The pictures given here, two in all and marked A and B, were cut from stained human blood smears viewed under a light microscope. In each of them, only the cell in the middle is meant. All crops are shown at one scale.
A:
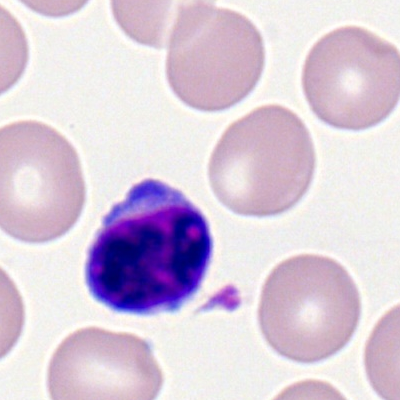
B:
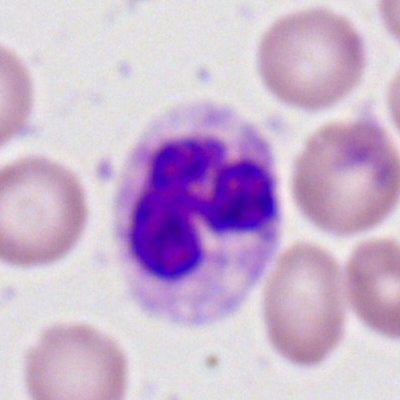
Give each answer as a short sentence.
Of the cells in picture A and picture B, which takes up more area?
Larger is the cell in picture B, at roughly 2 times the area of the other.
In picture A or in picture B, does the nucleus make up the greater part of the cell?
It is the cell in picture A that is filled more by its nucleus.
